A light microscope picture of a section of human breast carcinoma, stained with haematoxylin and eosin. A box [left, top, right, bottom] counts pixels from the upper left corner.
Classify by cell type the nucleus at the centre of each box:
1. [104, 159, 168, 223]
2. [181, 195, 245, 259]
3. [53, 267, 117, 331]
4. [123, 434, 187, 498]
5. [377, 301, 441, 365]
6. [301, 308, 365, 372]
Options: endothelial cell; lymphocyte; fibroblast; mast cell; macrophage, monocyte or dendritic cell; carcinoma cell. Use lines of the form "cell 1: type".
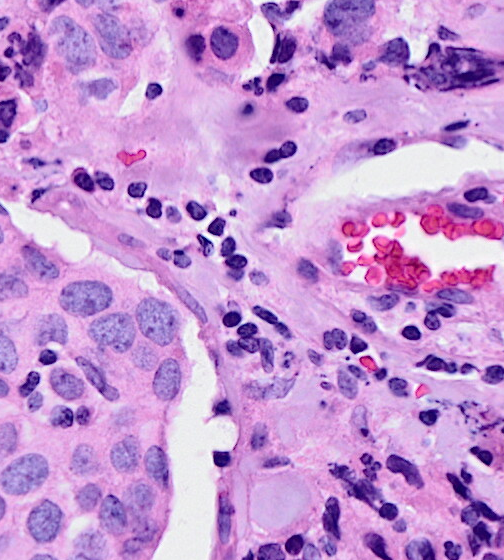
cell 1: lymphocyte
cell 2: lymphocyte
cell 3: carcinoma cell
cell 4: carcinoma cell
cell 5: lymphocyte
cell 6: lymphocyte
